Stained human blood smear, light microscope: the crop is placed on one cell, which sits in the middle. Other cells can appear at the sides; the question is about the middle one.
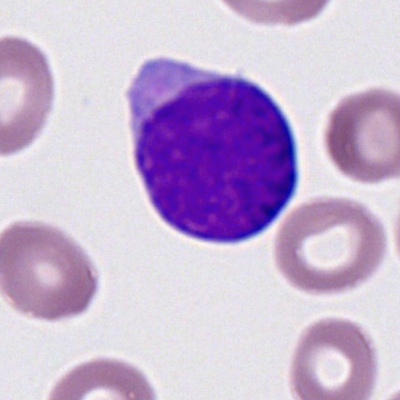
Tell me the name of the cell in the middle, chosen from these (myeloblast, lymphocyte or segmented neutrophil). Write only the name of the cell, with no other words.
myeloblast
